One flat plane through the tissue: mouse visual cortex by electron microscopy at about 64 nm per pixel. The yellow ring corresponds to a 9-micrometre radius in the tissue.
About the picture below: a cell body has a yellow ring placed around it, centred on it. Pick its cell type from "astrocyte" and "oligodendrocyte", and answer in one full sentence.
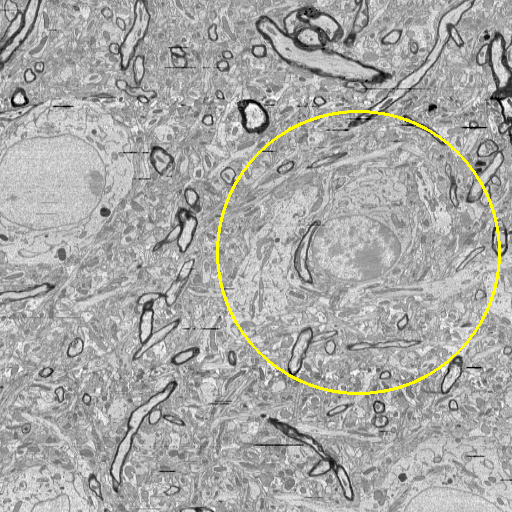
In the picture, an oligodendrocyte is the cell sitting at the centre of the yellow ring.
